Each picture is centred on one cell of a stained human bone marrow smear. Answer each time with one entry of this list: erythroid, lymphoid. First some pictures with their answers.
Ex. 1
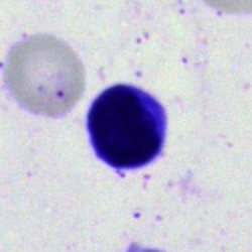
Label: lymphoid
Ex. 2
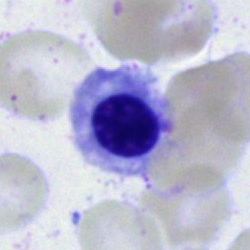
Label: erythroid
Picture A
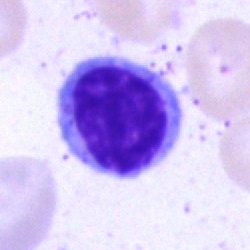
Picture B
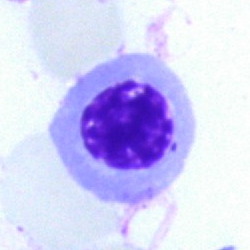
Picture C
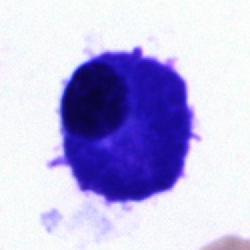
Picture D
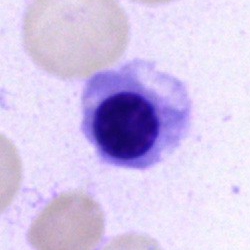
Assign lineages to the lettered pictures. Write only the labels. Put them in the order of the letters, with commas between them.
lymphoid, erythroid, lymphoid, erythroid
